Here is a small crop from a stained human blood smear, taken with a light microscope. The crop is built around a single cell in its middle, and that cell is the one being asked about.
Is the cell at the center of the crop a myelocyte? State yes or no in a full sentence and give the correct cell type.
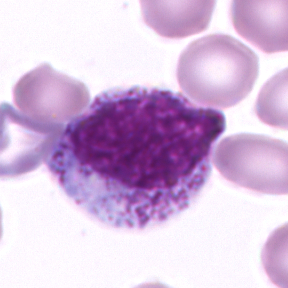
Yes, the cell in the center of this crop is a myelocyte.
